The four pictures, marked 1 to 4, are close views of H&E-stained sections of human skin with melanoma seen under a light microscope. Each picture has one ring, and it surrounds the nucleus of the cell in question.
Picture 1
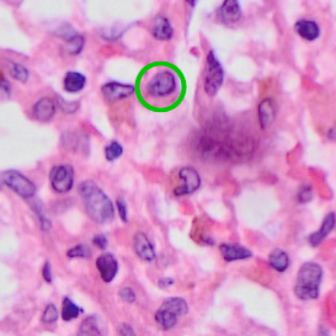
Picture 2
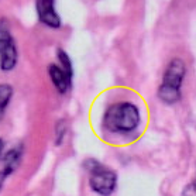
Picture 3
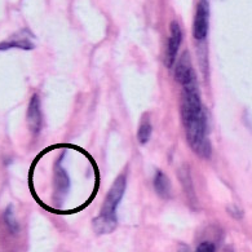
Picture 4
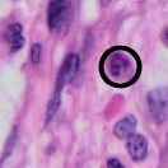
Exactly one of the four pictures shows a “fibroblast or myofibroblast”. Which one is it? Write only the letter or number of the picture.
3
